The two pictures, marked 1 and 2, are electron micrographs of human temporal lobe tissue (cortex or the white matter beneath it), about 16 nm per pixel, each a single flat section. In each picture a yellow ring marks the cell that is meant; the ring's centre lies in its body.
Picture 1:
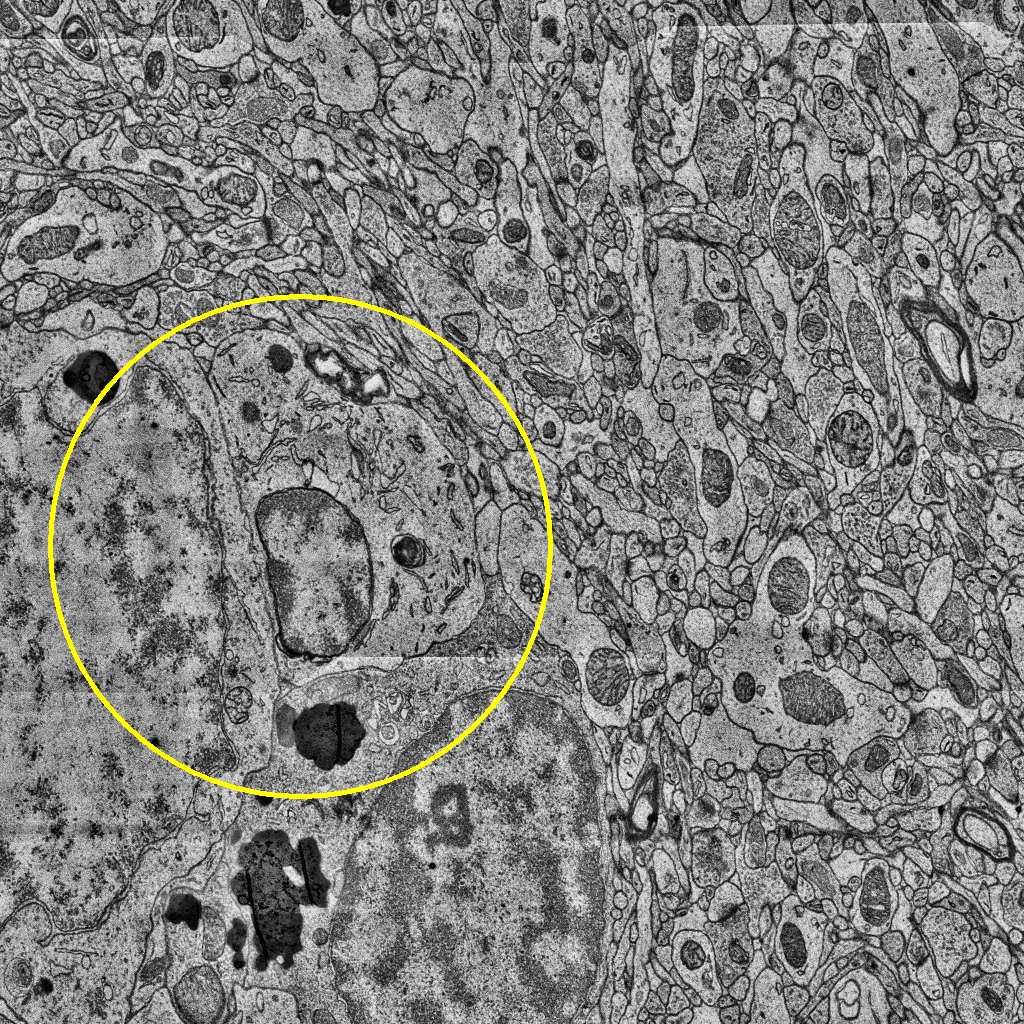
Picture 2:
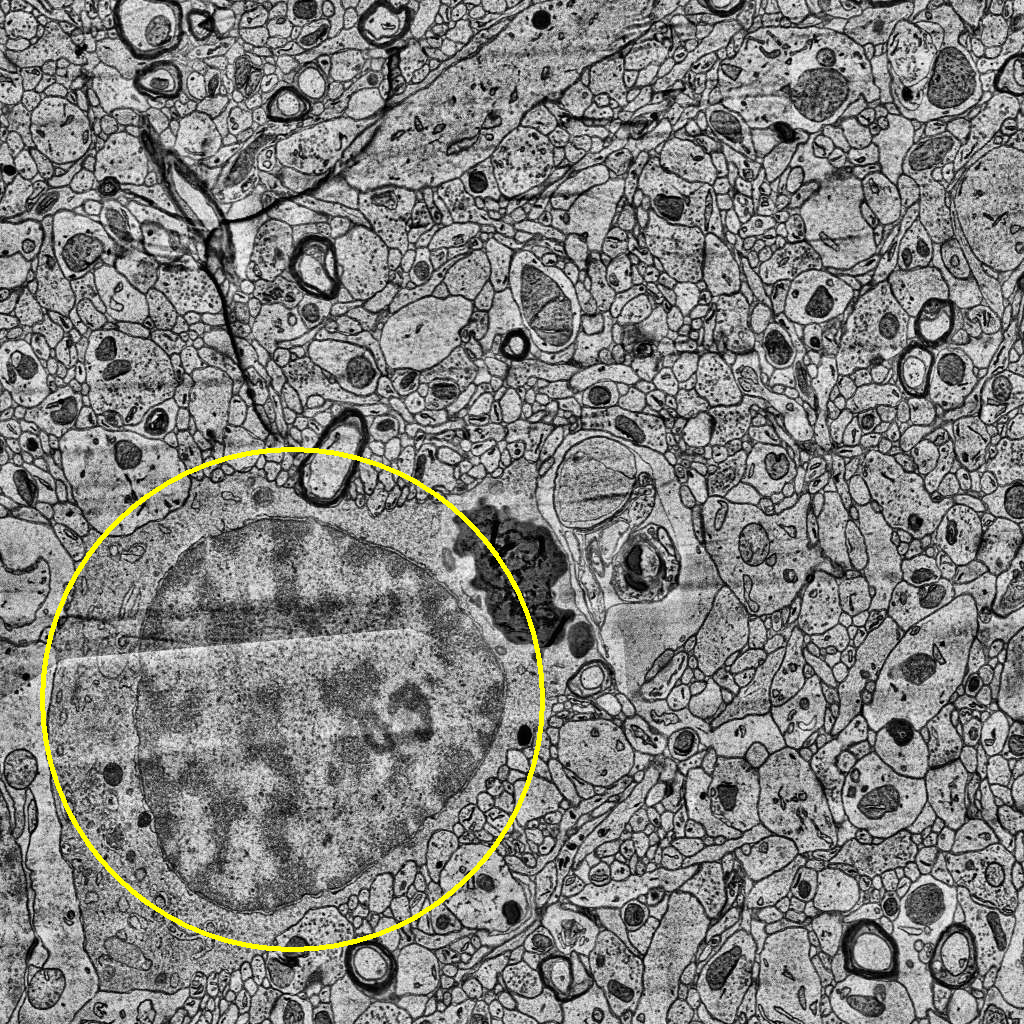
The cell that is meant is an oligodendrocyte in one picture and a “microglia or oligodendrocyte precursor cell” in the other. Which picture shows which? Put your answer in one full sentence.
In picture 1 the cell is a “microglia or oligodendrocyte precursor cell”; in picture 2, an oligodendrocyte.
